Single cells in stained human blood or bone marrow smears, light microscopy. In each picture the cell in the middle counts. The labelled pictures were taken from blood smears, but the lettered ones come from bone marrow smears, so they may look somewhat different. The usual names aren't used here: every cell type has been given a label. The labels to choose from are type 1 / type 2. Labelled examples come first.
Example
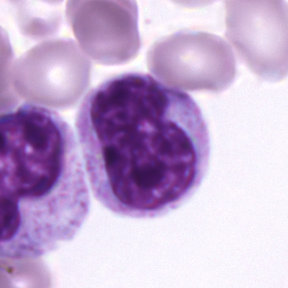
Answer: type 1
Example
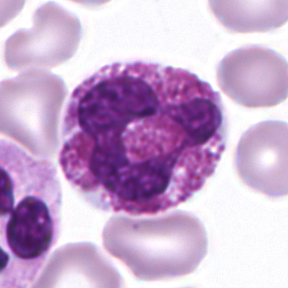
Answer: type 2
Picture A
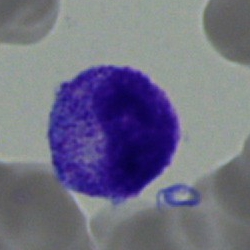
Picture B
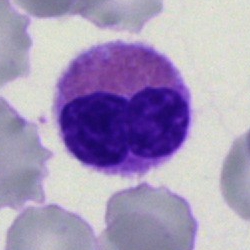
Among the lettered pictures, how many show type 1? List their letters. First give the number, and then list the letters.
1, namely A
